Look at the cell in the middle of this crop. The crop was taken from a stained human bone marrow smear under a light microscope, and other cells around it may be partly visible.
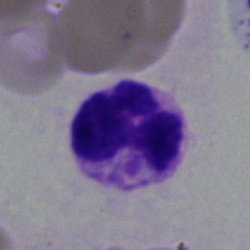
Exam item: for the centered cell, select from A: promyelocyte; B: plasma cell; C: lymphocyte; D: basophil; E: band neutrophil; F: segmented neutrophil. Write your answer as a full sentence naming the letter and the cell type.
The central cell, a basophil, is correctly identified by option D.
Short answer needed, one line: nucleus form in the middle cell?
Nuclear material here is separated into two or more segments.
